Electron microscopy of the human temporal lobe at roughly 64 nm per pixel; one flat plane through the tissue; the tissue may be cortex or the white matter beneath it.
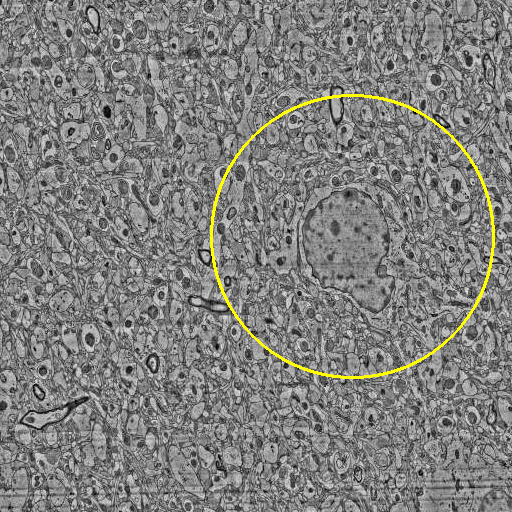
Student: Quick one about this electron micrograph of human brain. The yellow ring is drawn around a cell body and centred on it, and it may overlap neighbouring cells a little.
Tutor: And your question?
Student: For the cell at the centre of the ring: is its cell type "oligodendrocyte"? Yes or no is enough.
no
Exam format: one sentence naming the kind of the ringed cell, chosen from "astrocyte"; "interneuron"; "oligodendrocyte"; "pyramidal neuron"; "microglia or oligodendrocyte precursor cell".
The cell in question here is a microglial cell or oligodendrocyte precursor cell.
